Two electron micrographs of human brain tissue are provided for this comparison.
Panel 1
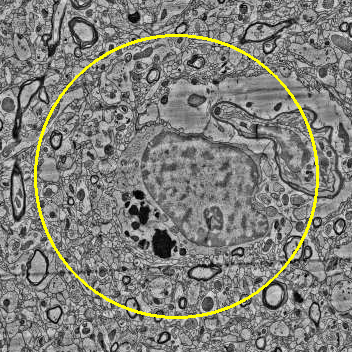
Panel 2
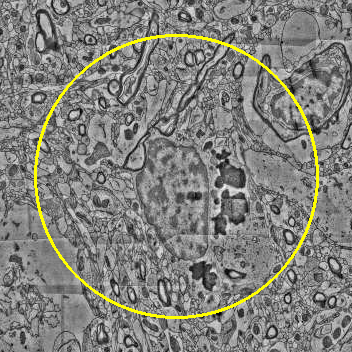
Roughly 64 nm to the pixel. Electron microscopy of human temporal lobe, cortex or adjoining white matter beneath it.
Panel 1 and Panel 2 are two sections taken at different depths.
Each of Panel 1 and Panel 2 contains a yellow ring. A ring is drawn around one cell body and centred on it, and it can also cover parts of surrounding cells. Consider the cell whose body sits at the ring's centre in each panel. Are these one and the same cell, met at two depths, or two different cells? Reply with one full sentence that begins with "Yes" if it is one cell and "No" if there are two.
No, each of the two rings holds a different cell.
